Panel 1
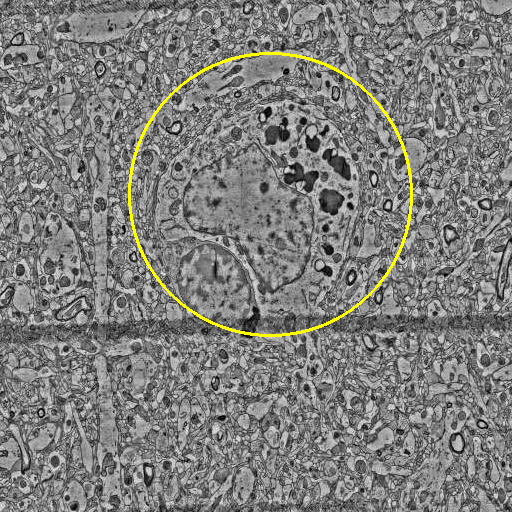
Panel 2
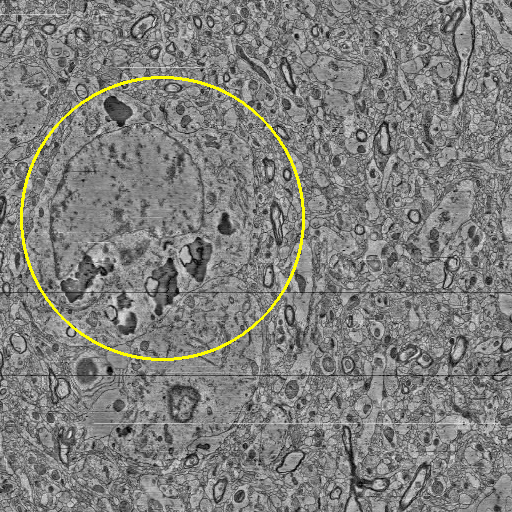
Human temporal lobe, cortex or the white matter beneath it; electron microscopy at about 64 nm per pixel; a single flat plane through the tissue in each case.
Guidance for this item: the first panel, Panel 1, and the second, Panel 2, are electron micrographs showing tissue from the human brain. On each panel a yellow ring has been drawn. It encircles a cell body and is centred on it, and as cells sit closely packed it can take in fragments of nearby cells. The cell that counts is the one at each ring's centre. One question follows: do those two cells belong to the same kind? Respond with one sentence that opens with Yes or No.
Yes, the cells at the ring centres in Panel 1 and Panel 2 are of one kind.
